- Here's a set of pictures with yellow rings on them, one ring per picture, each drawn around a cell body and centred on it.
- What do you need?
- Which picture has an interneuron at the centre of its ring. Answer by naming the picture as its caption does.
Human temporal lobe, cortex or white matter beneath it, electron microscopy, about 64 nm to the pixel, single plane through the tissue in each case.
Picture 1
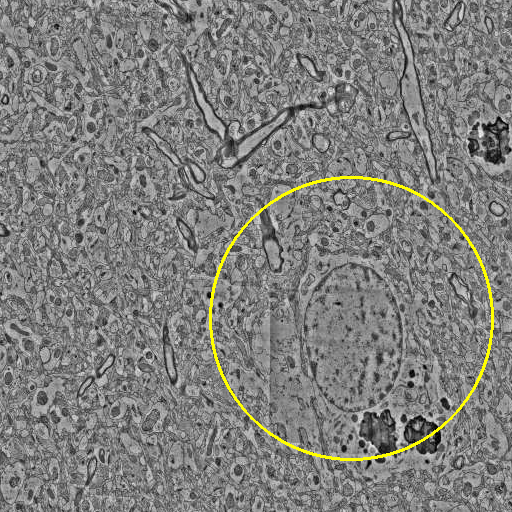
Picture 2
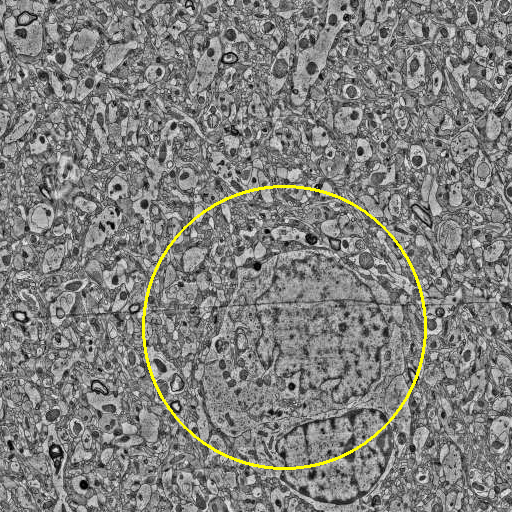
Picture 2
